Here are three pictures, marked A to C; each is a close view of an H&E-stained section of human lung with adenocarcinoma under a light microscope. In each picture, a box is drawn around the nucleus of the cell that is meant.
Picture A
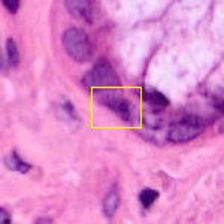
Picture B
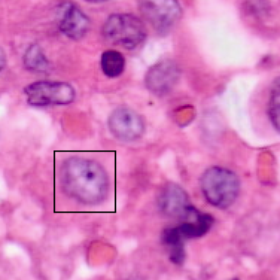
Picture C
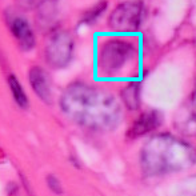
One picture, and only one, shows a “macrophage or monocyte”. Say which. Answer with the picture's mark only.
B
